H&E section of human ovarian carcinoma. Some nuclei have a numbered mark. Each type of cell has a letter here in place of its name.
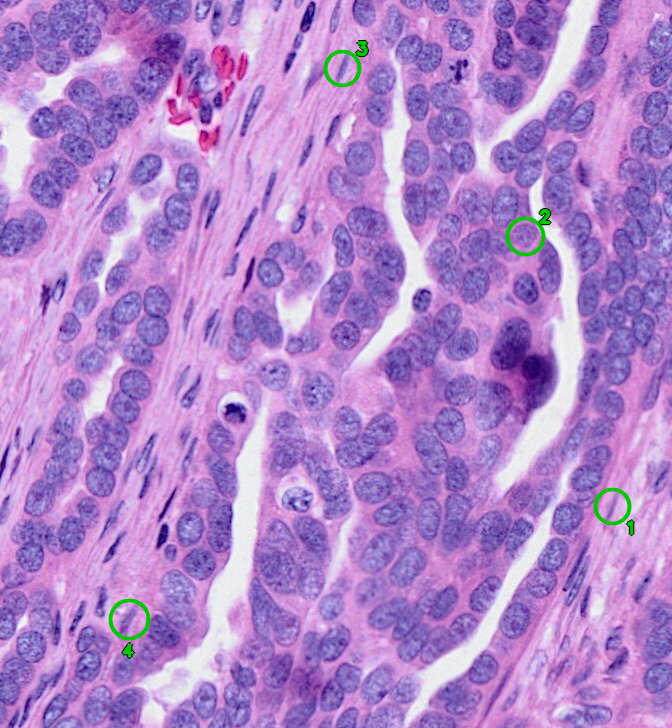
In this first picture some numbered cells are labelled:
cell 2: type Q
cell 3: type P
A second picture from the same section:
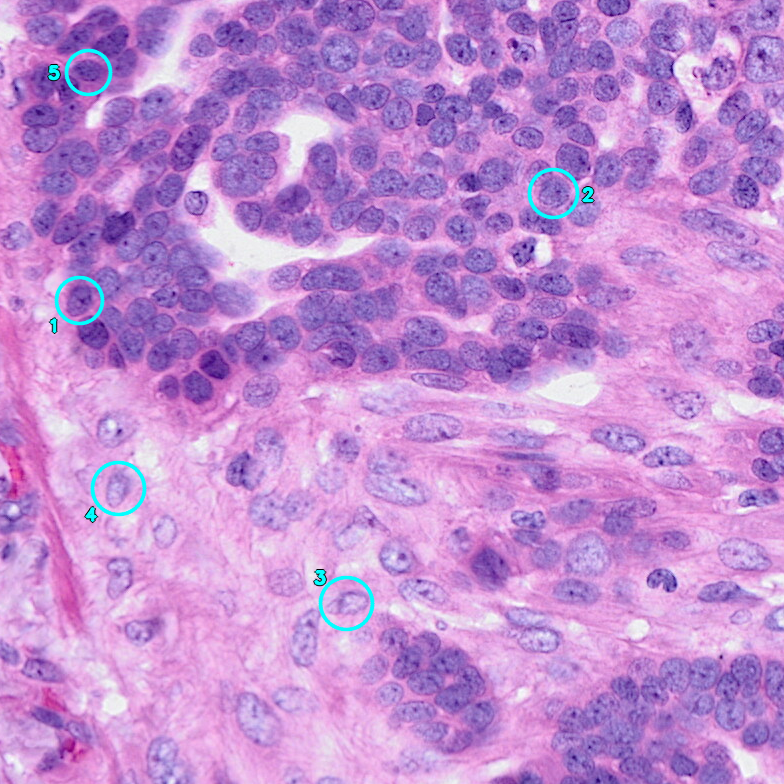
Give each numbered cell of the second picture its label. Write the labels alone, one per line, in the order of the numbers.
type Q
type Q
type P
type P
type Q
